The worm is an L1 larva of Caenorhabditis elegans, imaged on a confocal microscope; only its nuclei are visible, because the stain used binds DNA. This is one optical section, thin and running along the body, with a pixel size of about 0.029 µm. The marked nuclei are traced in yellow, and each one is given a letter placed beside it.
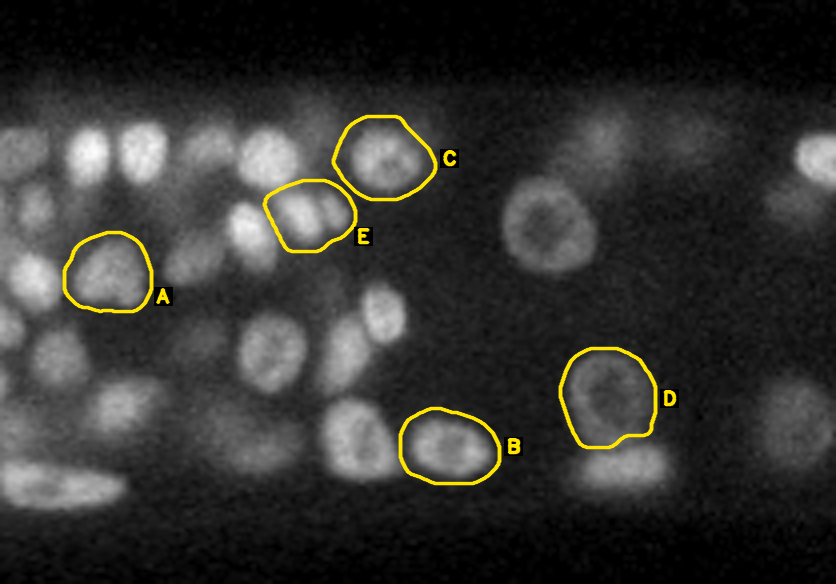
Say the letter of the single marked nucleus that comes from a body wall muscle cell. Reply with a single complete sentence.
Of the marked nuclei, C is the one in a body wall muscle cell.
